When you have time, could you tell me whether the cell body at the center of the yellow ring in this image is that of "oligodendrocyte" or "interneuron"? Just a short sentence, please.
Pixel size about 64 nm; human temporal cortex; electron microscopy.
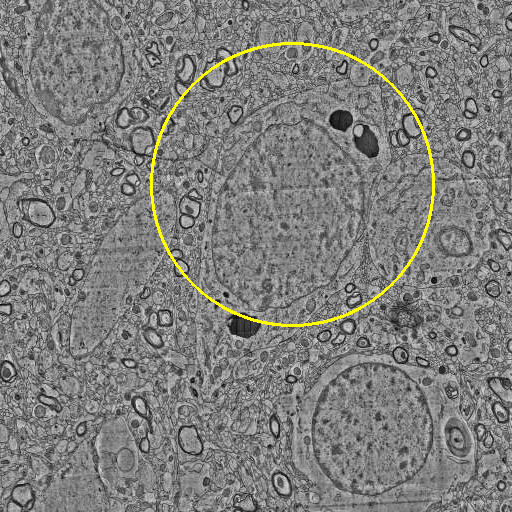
The cell body at the center of the ring is that of an interneuron.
